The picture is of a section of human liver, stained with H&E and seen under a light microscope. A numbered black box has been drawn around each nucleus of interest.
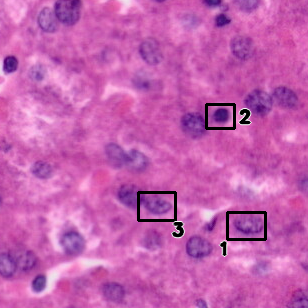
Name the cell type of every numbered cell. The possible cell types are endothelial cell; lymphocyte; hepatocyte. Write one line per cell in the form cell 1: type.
cell 1: hepatocyte
cell 2: lymphocyte
cell 3: hepatocyte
